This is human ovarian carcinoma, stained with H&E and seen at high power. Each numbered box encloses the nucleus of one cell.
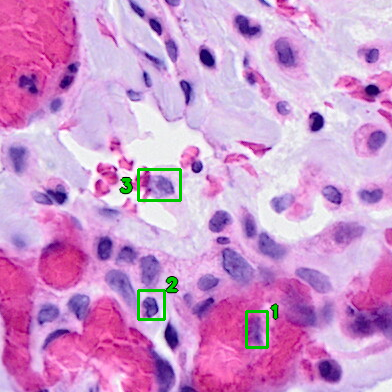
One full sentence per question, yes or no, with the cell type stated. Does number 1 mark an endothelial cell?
Yes, regarding number 1, the cell is an endothelial cell.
